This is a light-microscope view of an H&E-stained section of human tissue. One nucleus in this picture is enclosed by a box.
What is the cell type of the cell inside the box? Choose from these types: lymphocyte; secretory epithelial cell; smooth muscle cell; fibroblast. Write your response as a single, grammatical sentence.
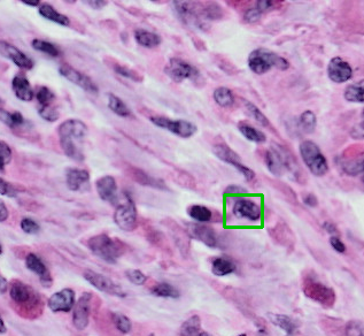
By its classification, the cell inside the box is a lymphocyte.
